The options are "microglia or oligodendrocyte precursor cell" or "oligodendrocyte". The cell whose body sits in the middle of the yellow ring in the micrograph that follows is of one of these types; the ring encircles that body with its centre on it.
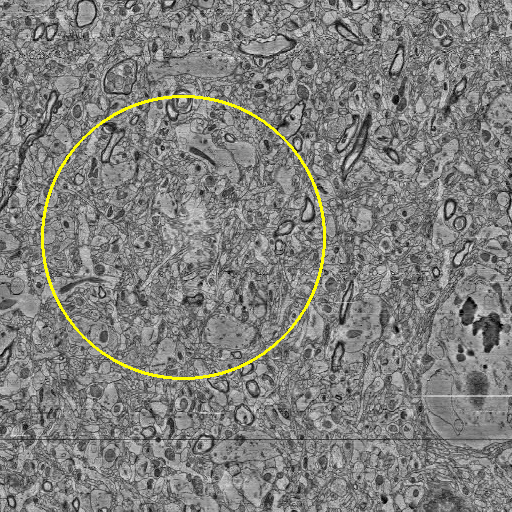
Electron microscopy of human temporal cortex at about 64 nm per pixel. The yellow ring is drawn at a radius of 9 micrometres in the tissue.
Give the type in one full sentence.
Going by the micrograph, the cell centred in the yellow ring is a microglial cell or oligodendrocyte precursor cell.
